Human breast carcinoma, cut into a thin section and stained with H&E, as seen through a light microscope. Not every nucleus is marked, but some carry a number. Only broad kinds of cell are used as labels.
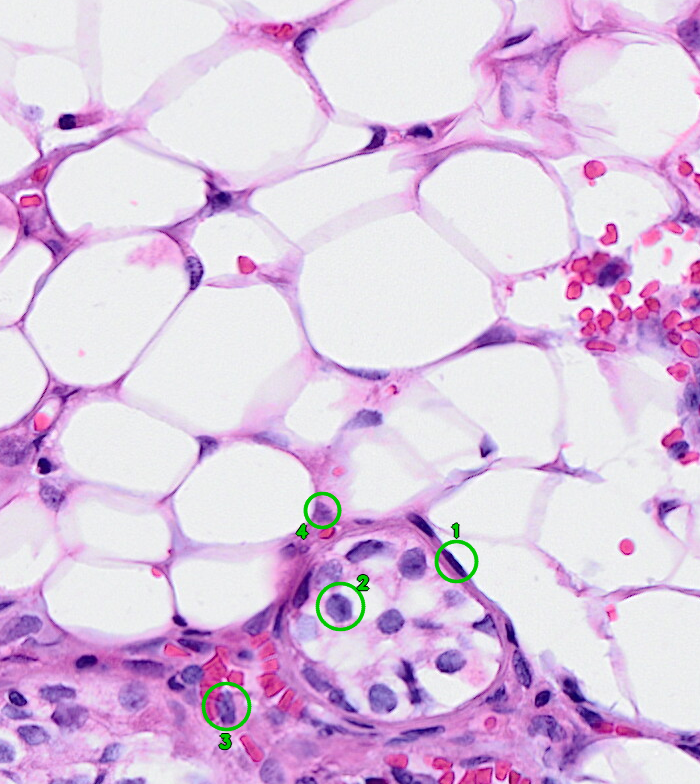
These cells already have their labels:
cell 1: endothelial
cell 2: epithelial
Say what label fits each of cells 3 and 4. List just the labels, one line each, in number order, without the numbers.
endothelial
endothelial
